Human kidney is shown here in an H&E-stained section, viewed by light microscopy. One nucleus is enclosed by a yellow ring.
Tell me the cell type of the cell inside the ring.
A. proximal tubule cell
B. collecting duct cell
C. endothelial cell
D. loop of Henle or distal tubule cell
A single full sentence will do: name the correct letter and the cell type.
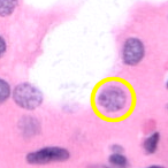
In this section the cell inside the ring is a loop of Henle or distal tubule cell; option D is therefore correct.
